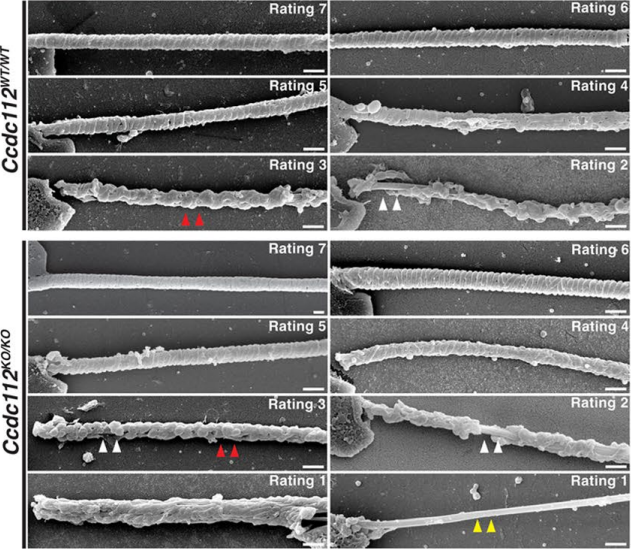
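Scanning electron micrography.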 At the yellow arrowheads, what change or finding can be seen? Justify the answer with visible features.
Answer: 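At the yellow arrowheads the tail is a thin smooth strand. No helical beaded sheath covers that stretch. That points to this answer: no mitochondria.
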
